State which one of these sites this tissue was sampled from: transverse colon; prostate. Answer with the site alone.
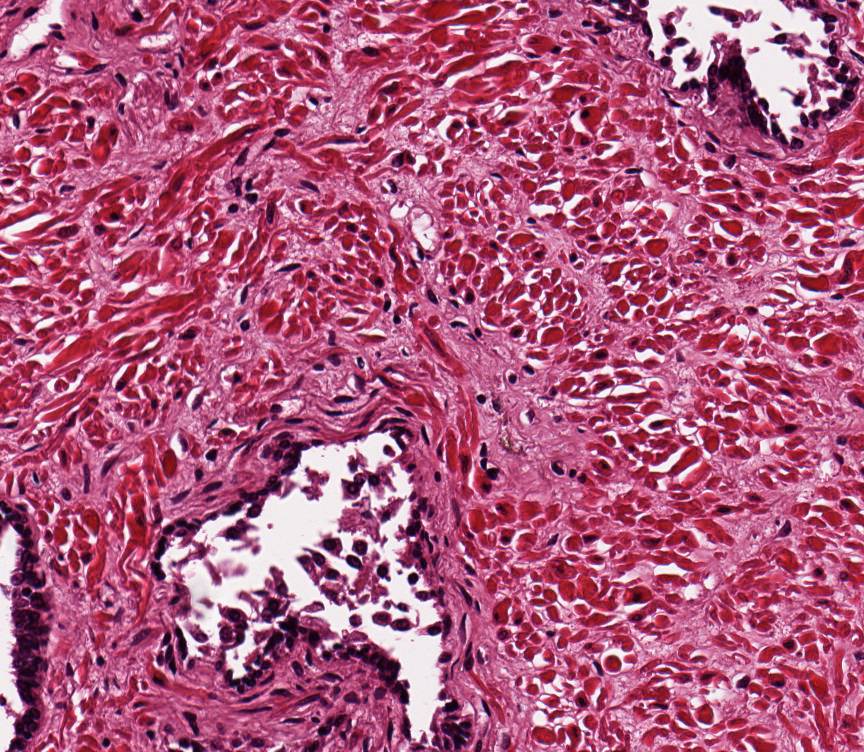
prostate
